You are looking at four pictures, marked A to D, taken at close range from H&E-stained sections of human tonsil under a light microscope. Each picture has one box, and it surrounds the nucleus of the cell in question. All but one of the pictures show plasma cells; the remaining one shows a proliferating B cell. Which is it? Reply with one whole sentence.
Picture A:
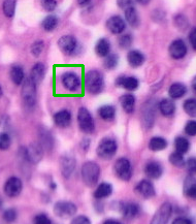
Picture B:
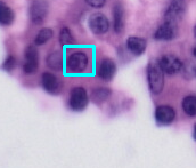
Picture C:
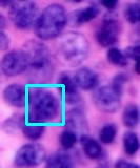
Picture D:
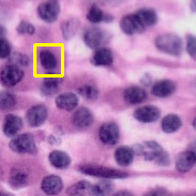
Picture C is the one that shows the proliferating B cell.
